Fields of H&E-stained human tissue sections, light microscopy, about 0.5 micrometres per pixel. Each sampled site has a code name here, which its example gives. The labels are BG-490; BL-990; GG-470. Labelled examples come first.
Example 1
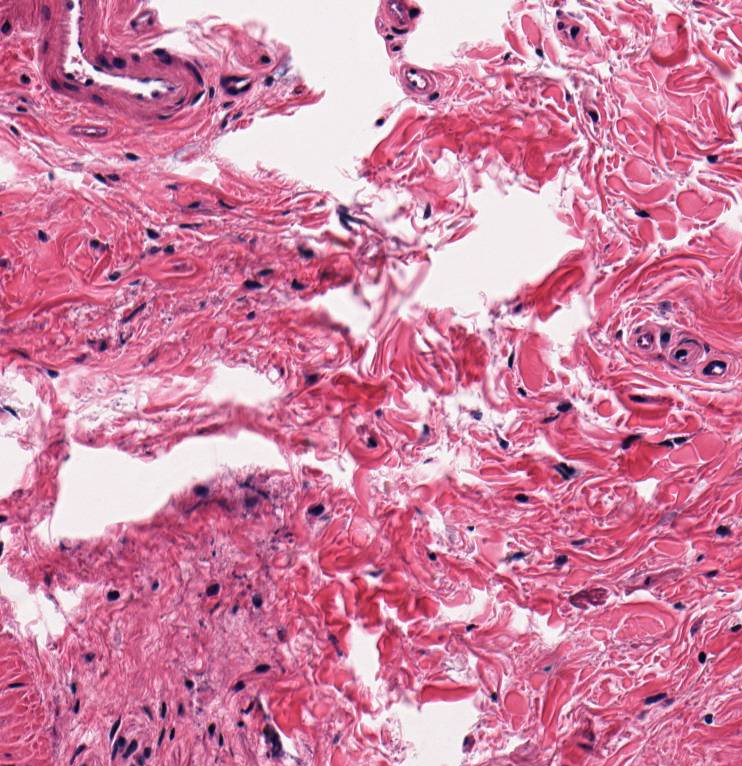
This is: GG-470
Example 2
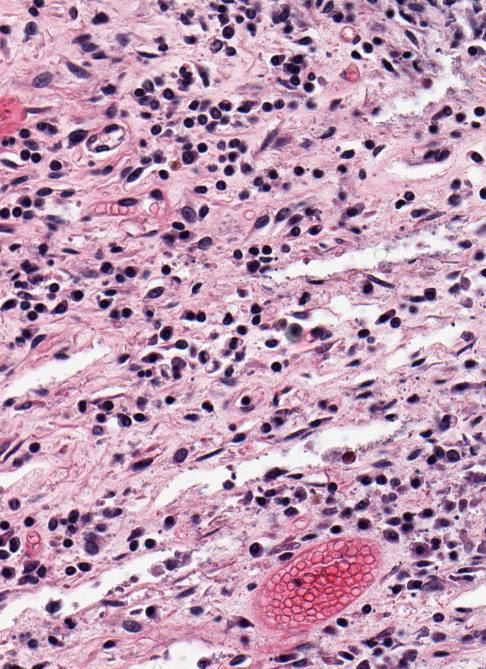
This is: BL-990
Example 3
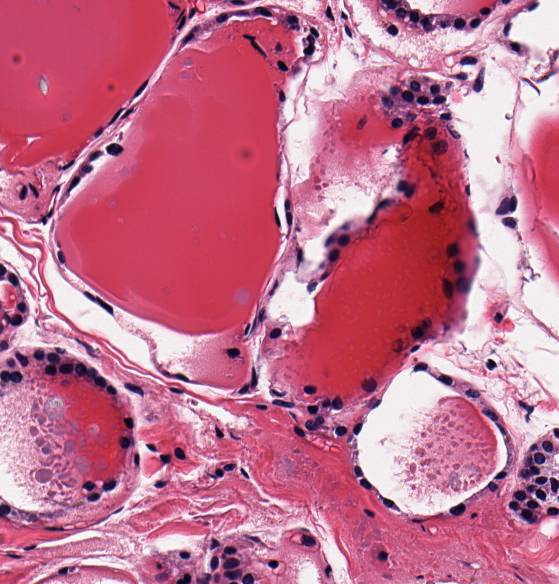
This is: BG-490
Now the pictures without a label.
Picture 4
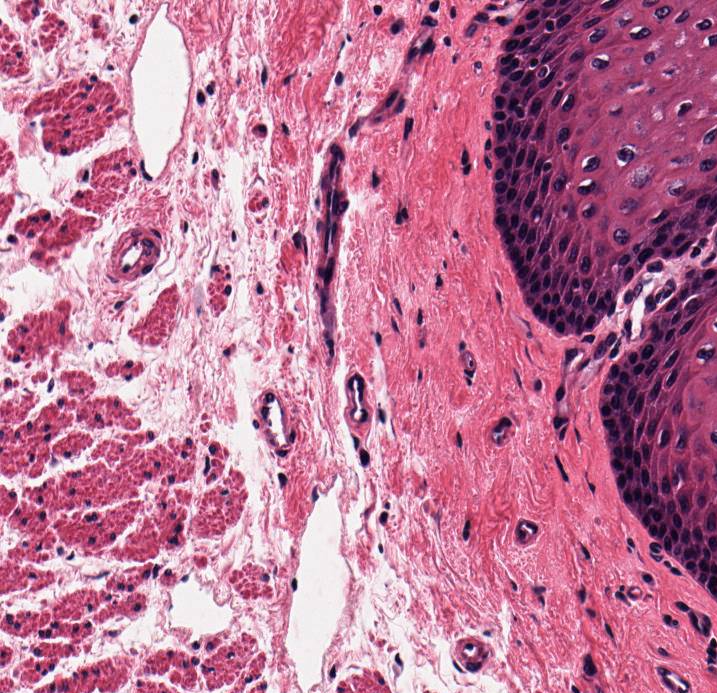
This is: GG-470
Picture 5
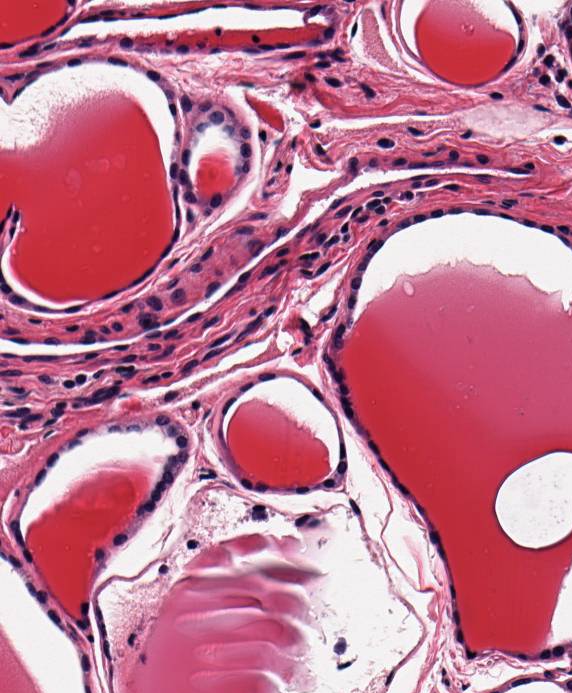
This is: BG-490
